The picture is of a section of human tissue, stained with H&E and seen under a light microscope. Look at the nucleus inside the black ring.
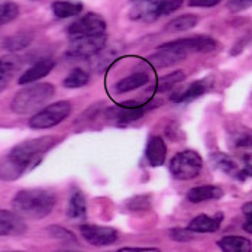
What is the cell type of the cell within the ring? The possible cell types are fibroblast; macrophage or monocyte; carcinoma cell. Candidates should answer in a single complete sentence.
Placed in its cell category, the cell within the ring is a carcinoma cell.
